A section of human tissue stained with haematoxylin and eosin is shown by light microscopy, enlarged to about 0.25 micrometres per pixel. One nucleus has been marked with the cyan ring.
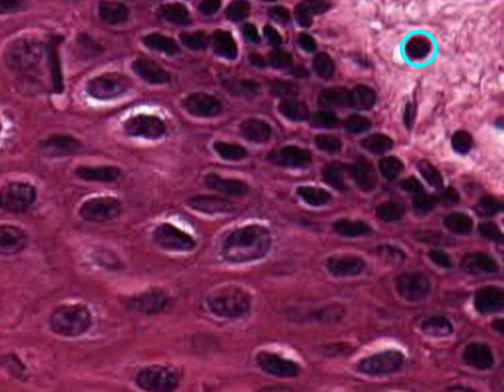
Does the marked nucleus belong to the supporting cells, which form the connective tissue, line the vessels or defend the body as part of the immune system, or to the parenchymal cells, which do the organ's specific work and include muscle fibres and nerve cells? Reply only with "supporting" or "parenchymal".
supporting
